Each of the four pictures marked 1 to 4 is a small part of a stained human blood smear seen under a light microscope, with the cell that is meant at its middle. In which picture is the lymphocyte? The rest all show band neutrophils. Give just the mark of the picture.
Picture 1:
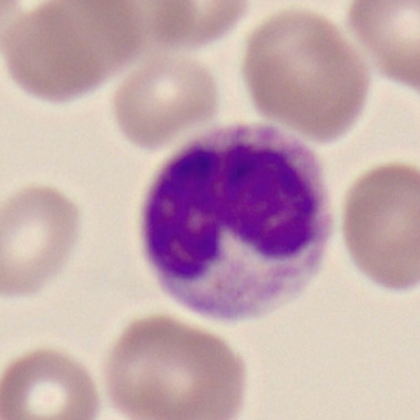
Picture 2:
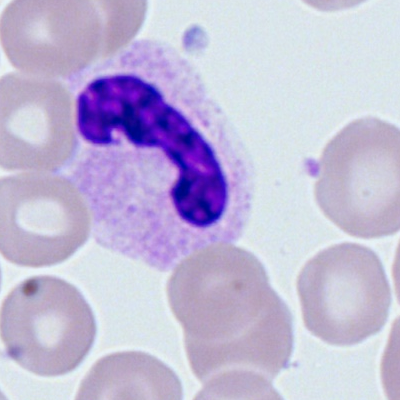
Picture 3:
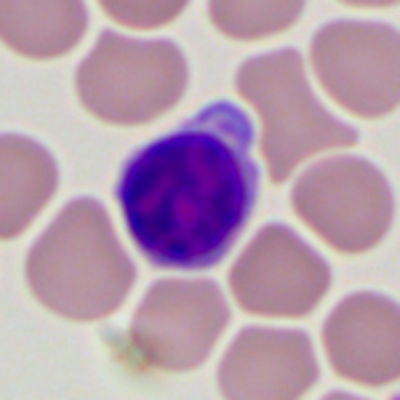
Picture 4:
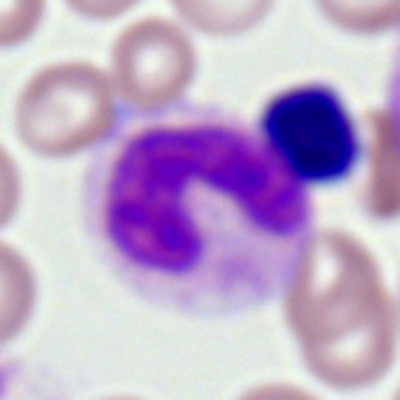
3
